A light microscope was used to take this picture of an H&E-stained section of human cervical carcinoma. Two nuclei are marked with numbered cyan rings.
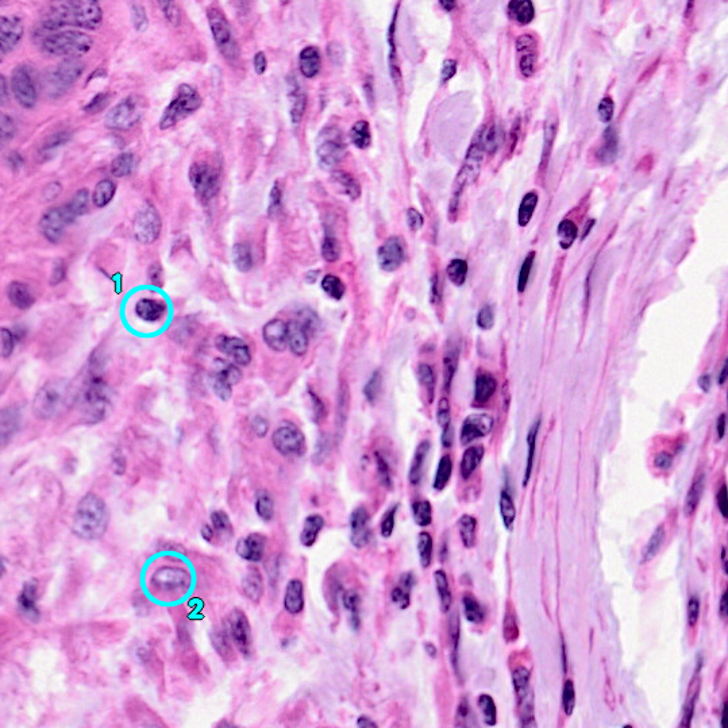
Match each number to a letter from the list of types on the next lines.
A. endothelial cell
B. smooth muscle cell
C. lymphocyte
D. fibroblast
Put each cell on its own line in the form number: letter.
1: C
2: A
